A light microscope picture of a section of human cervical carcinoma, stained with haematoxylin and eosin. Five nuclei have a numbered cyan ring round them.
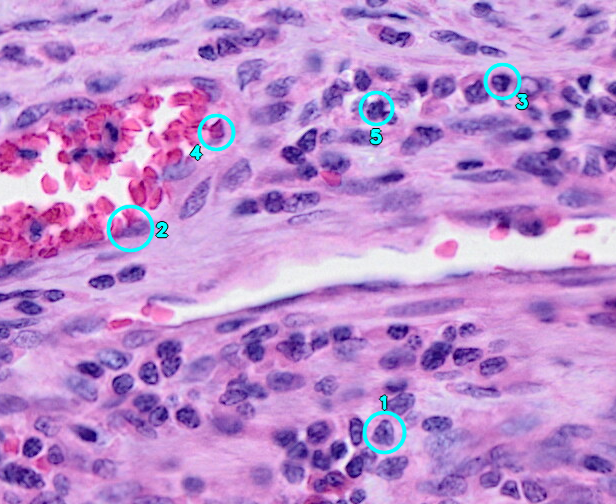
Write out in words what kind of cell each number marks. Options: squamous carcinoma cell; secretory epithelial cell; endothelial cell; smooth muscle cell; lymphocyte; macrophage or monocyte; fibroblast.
Cells 1, 3 and 5 are lymphocytes. Cells 2 and 4 are endothelial cells.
